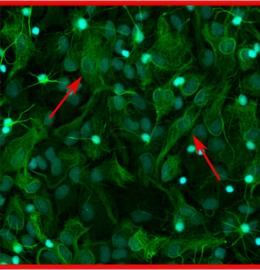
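This glial culture is dominated by flat astrocytes that form a near-continuous green sheet. The flat cells are broad and polygonal, with fibrous green cytoplasm and no long thin processes. Their nuclei are large, oval and dim cyan, while scattered among them lie smaller, brighter round nuclei, some belonging to star-shaped cells with thin processes.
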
